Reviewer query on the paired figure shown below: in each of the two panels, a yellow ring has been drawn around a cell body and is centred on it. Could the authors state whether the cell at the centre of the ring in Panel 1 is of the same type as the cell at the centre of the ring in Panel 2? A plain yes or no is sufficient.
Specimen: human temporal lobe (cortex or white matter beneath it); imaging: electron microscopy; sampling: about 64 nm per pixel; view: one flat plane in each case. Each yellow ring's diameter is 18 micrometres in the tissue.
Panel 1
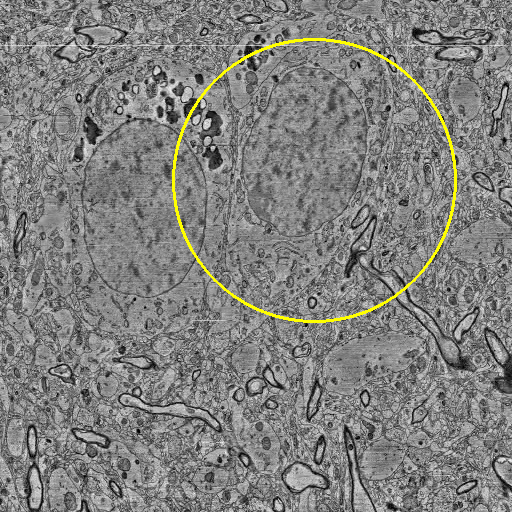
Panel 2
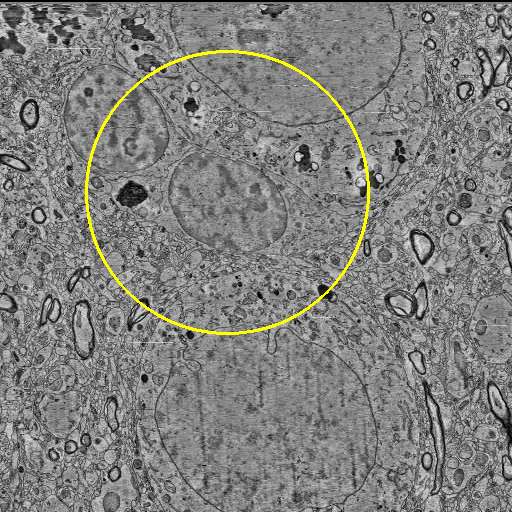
no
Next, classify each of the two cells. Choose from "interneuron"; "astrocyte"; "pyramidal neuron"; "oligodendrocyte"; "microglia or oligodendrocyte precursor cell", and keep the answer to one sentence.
In the first picture it is an interneuron; in the second it is an oligodendrocyte.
